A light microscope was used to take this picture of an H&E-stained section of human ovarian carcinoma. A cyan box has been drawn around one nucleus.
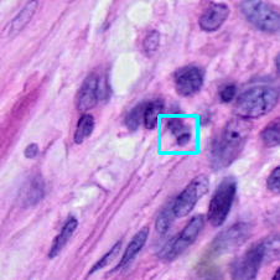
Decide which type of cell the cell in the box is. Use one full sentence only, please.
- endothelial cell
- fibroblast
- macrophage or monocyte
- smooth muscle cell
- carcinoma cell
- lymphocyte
In the tissue under study, the cell in the box is a macrophage or monocyte.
